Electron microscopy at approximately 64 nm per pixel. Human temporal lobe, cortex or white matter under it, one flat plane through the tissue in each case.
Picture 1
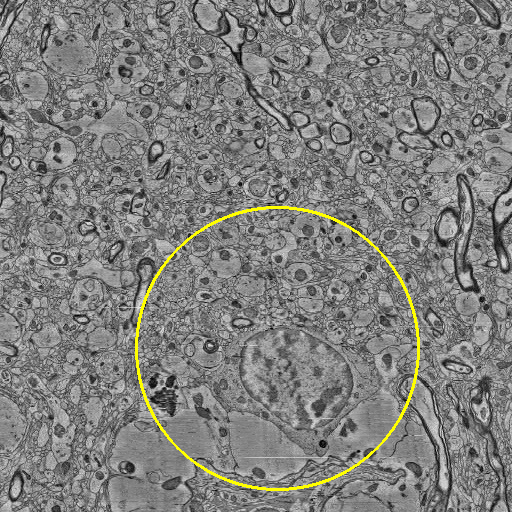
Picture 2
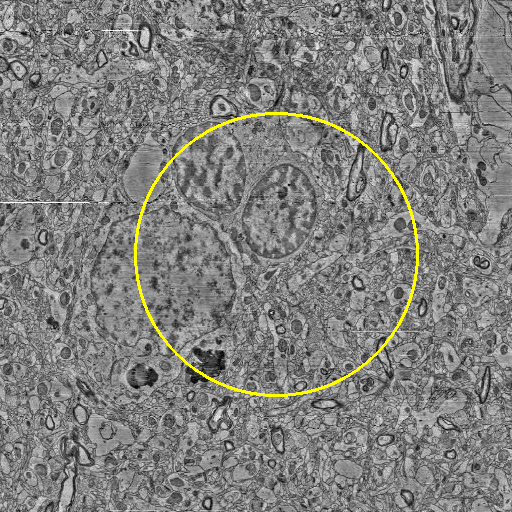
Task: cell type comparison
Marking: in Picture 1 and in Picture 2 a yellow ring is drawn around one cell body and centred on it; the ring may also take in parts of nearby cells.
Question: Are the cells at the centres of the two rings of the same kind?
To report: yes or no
yes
